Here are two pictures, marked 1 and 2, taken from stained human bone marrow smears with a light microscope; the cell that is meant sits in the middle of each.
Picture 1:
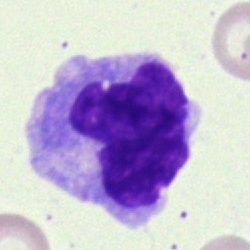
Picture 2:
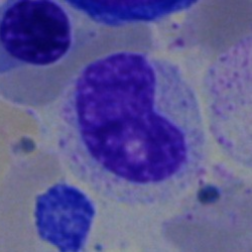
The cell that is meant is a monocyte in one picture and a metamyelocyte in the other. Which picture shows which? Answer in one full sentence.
The cell in picture 1 is a monocyte, and the one in picture 2 is a metamyelocyte.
